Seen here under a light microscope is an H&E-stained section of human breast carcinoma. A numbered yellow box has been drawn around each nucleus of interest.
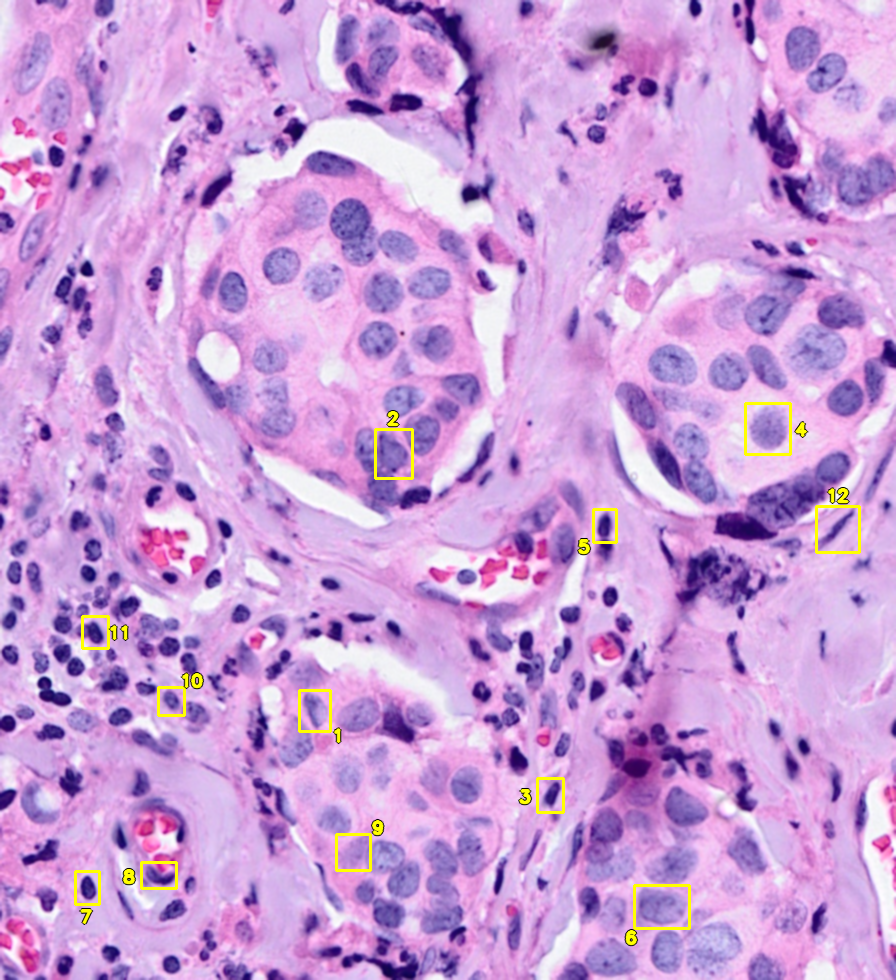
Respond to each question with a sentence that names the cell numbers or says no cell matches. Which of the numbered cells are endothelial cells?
No marked cell except number 8 is an endothelial cell.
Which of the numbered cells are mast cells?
Cell 10 is a mast cell; no further numbered cell is.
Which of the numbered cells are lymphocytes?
The cells that have numbers 3, 5, 7 and 11 are lymphocytes.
